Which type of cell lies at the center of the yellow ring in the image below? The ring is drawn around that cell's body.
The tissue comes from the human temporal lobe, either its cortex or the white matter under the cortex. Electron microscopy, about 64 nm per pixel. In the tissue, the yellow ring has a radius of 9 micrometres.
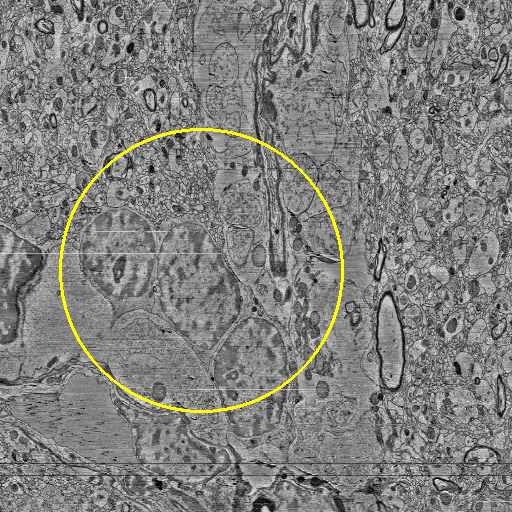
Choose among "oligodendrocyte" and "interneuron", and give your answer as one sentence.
The cell body at the center belongs to an oligodendrocyte.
